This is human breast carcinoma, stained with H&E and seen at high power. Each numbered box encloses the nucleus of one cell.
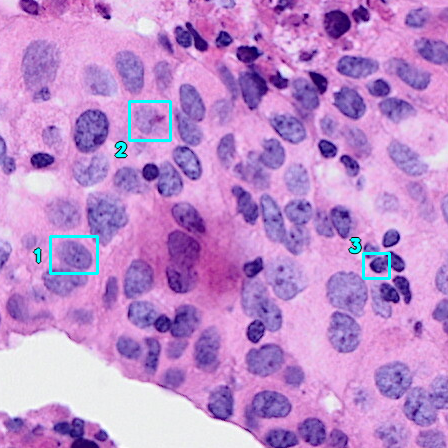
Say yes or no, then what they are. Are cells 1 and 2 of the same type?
Yes, both of the numbered cells concerned, 1 and 2, are carcinoma cells.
